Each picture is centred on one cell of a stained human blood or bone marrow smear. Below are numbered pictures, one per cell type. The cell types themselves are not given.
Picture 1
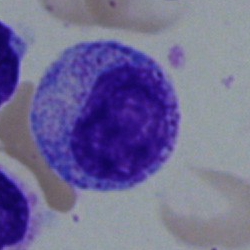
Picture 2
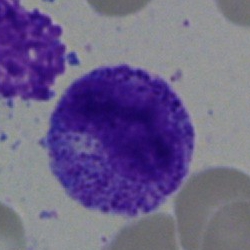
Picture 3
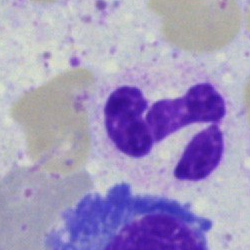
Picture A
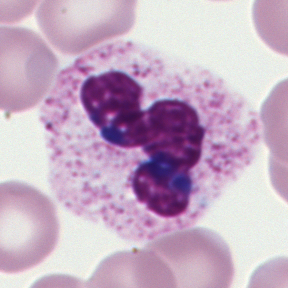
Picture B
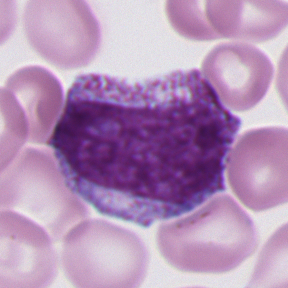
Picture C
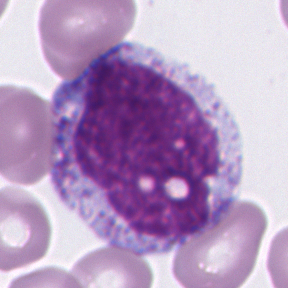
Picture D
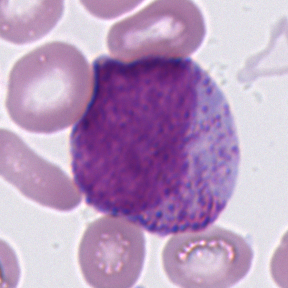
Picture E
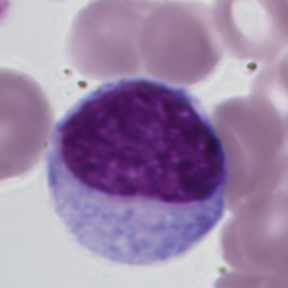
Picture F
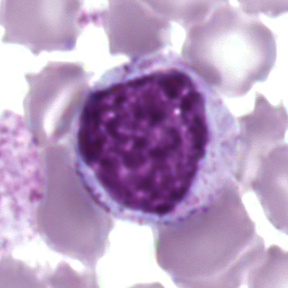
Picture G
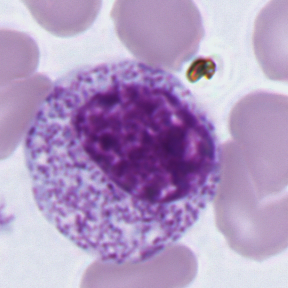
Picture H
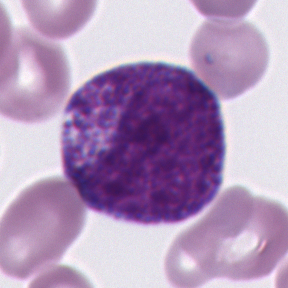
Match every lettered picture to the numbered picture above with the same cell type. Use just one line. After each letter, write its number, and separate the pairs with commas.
A 3, B 1, C 2, D 2, E 2, F 1, G 1, H 1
